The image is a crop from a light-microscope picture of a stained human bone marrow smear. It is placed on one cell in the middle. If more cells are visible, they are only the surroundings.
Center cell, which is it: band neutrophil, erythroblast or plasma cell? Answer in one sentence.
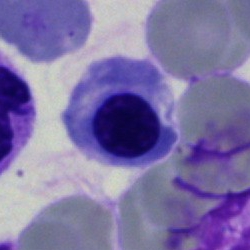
The cell at the heart of this crop is an erythroblast.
